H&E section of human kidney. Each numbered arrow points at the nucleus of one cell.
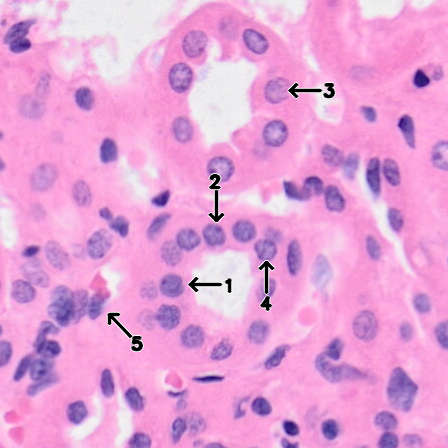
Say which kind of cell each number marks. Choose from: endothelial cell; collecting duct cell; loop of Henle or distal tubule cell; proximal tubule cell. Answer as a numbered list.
1. collecting duct cell
2. collecting duct cell
3. proximal tubule cell
4. collecting duct cell
5. endothelial cell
